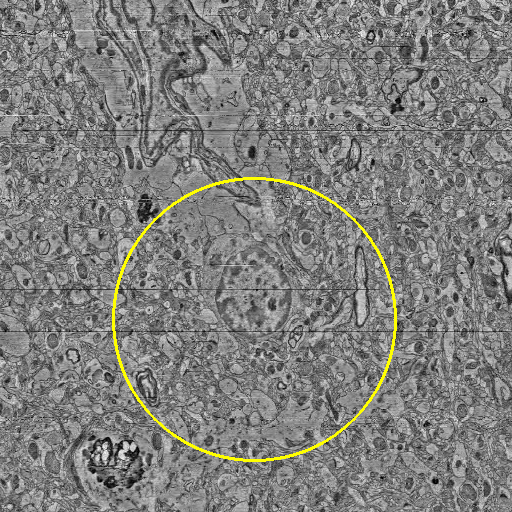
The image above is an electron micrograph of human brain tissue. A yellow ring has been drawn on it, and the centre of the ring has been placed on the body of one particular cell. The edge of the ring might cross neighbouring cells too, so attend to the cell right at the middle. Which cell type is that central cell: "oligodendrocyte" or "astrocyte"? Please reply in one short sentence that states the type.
The central cell in the ring is an oligodendrocyte.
